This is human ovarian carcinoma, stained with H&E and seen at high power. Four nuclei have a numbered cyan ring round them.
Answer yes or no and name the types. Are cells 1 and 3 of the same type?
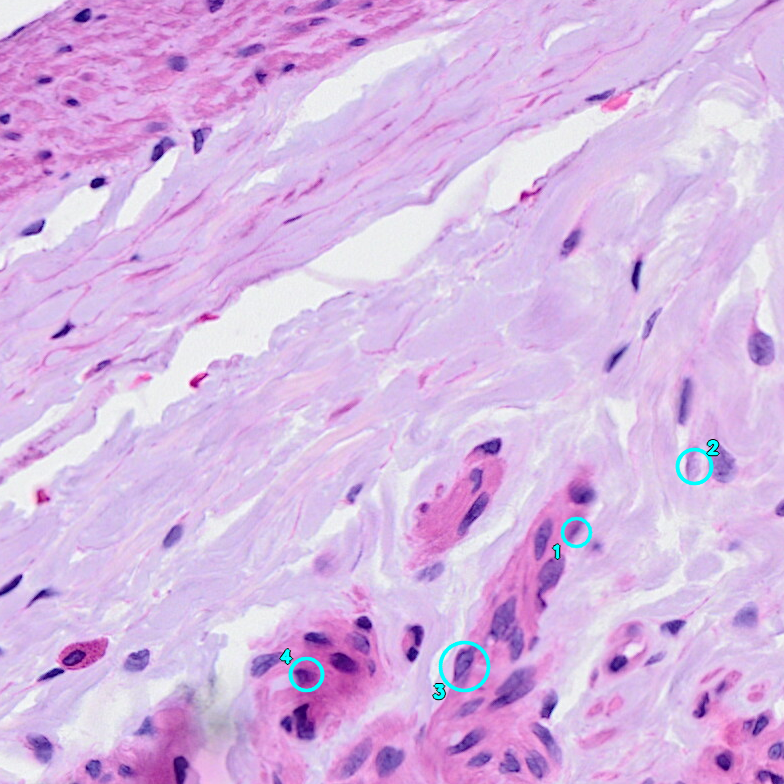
Yes, in terms of cell type, cells 1 and 3 are both smooth muscle cells.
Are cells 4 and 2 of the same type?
No, cell 4 counts as a smooth muscle cell, and cell 2 counts as a fibroblast.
